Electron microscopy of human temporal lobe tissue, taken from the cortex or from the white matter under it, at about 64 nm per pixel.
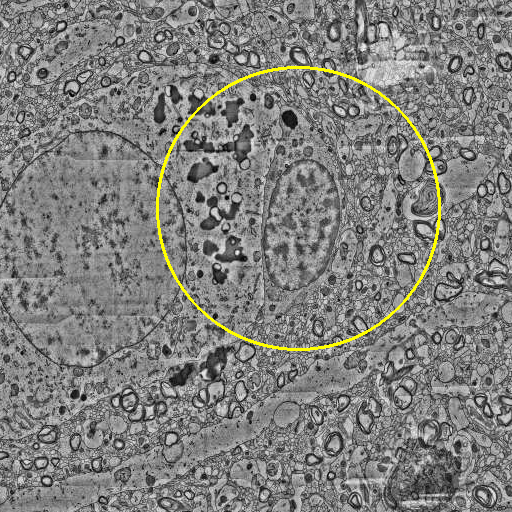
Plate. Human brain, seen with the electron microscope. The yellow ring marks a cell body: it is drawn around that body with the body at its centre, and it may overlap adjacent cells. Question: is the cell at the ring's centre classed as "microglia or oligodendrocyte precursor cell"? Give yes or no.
no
